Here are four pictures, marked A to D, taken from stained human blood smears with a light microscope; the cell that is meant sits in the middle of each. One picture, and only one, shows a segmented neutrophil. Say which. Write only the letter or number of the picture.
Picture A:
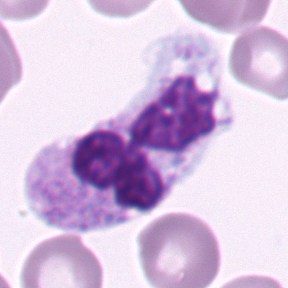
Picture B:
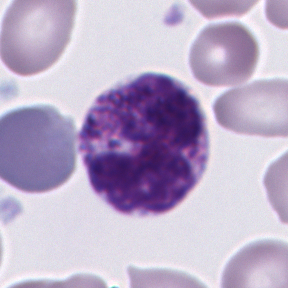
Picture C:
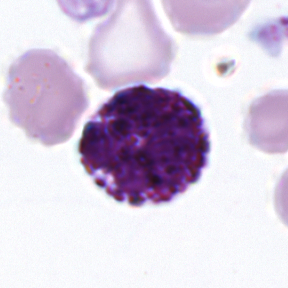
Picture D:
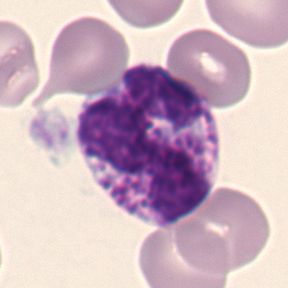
A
